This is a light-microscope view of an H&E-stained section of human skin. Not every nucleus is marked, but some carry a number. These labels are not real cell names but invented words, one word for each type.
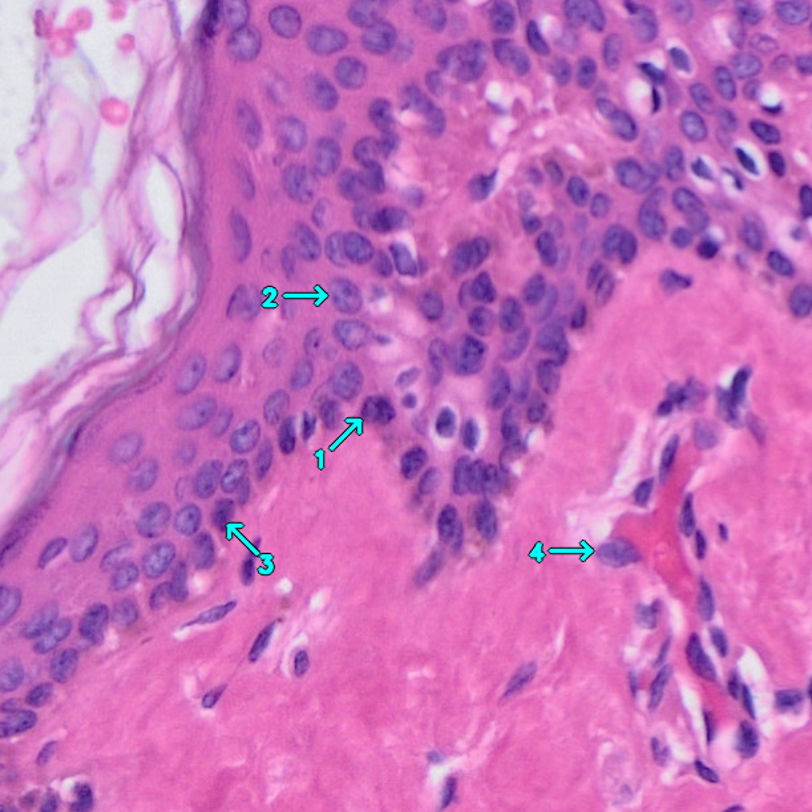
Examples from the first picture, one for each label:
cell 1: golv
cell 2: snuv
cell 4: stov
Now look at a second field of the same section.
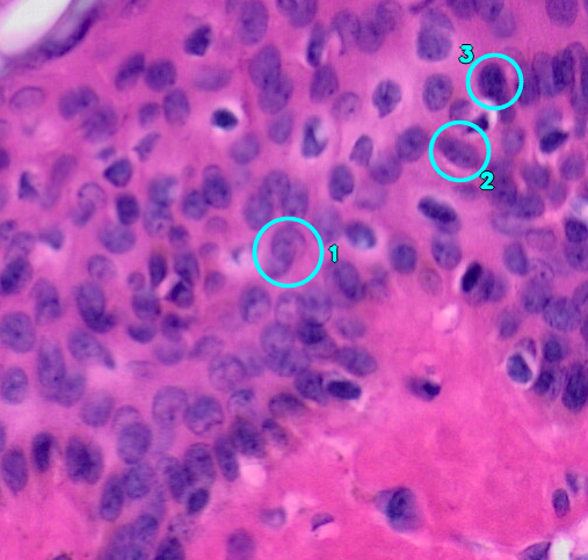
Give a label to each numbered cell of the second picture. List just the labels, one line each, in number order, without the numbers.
snuv
golv
golv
